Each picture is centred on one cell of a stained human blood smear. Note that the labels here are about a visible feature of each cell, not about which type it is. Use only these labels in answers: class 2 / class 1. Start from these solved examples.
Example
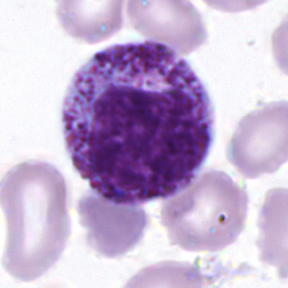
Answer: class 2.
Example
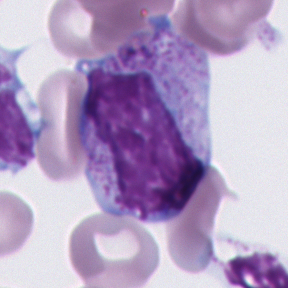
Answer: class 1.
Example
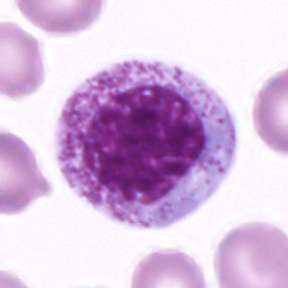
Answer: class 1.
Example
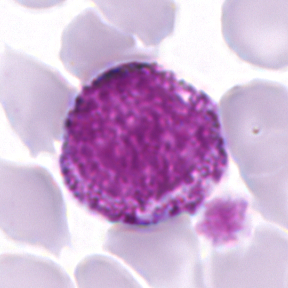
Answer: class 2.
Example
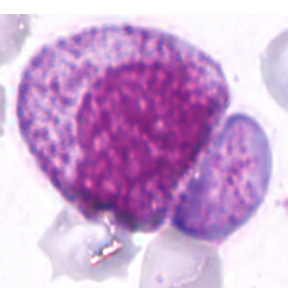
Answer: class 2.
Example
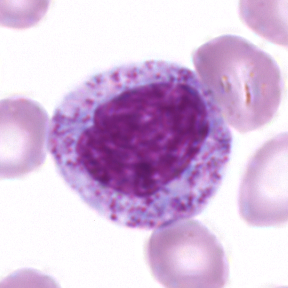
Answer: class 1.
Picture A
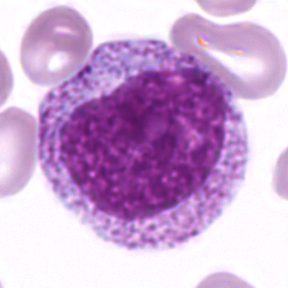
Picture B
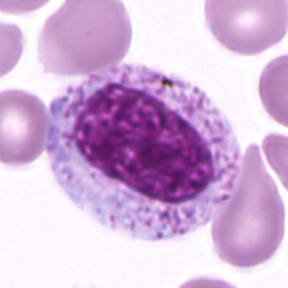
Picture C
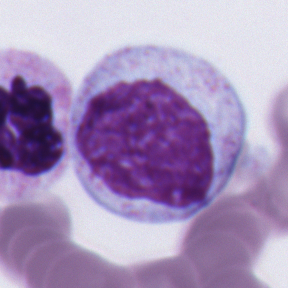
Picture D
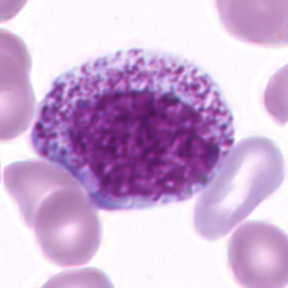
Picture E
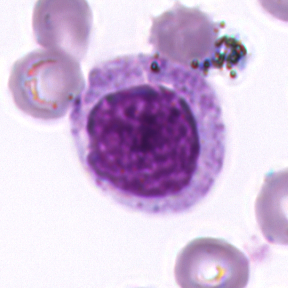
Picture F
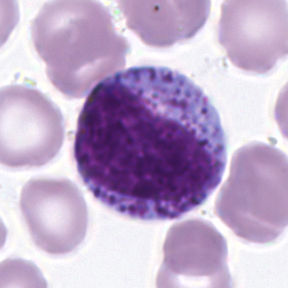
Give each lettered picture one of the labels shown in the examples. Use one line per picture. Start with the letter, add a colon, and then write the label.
A: class 1.
B: class 1.
C: class 1.
D: class 2.
E: class 1.
F: class 2.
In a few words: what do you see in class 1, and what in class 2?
Seen in class 1: fine or small granules; seen in class 2: coarse or large granules.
